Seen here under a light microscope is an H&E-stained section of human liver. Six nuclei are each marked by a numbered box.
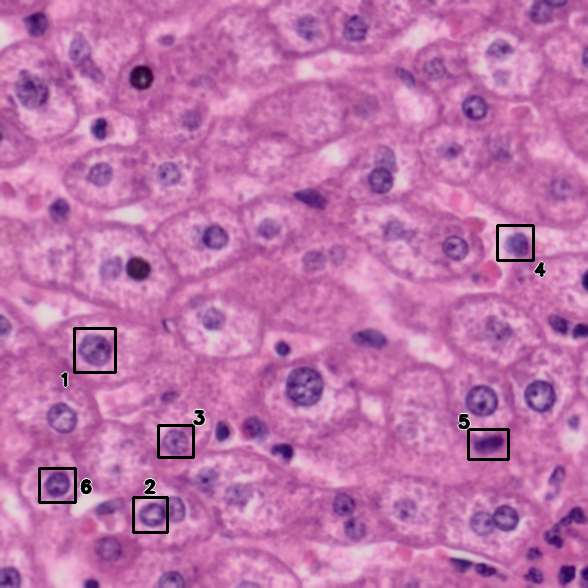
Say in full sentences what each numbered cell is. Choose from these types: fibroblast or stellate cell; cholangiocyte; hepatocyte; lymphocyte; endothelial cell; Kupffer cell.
Cells 1, 2, 3 and 6 are hepatocytes. Cell 4 is an endothelial cell. Cell 5 is a fibroblast or stellate cell.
